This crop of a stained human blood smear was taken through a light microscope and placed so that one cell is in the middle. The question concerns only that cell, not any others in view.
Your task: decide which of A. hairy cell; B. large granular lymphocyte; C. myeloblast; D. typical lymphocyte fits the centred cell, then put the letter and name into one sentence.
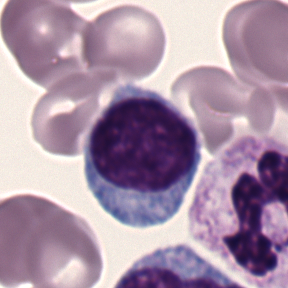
The correct option here is D; the middle cell is a typical lymphocyte.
